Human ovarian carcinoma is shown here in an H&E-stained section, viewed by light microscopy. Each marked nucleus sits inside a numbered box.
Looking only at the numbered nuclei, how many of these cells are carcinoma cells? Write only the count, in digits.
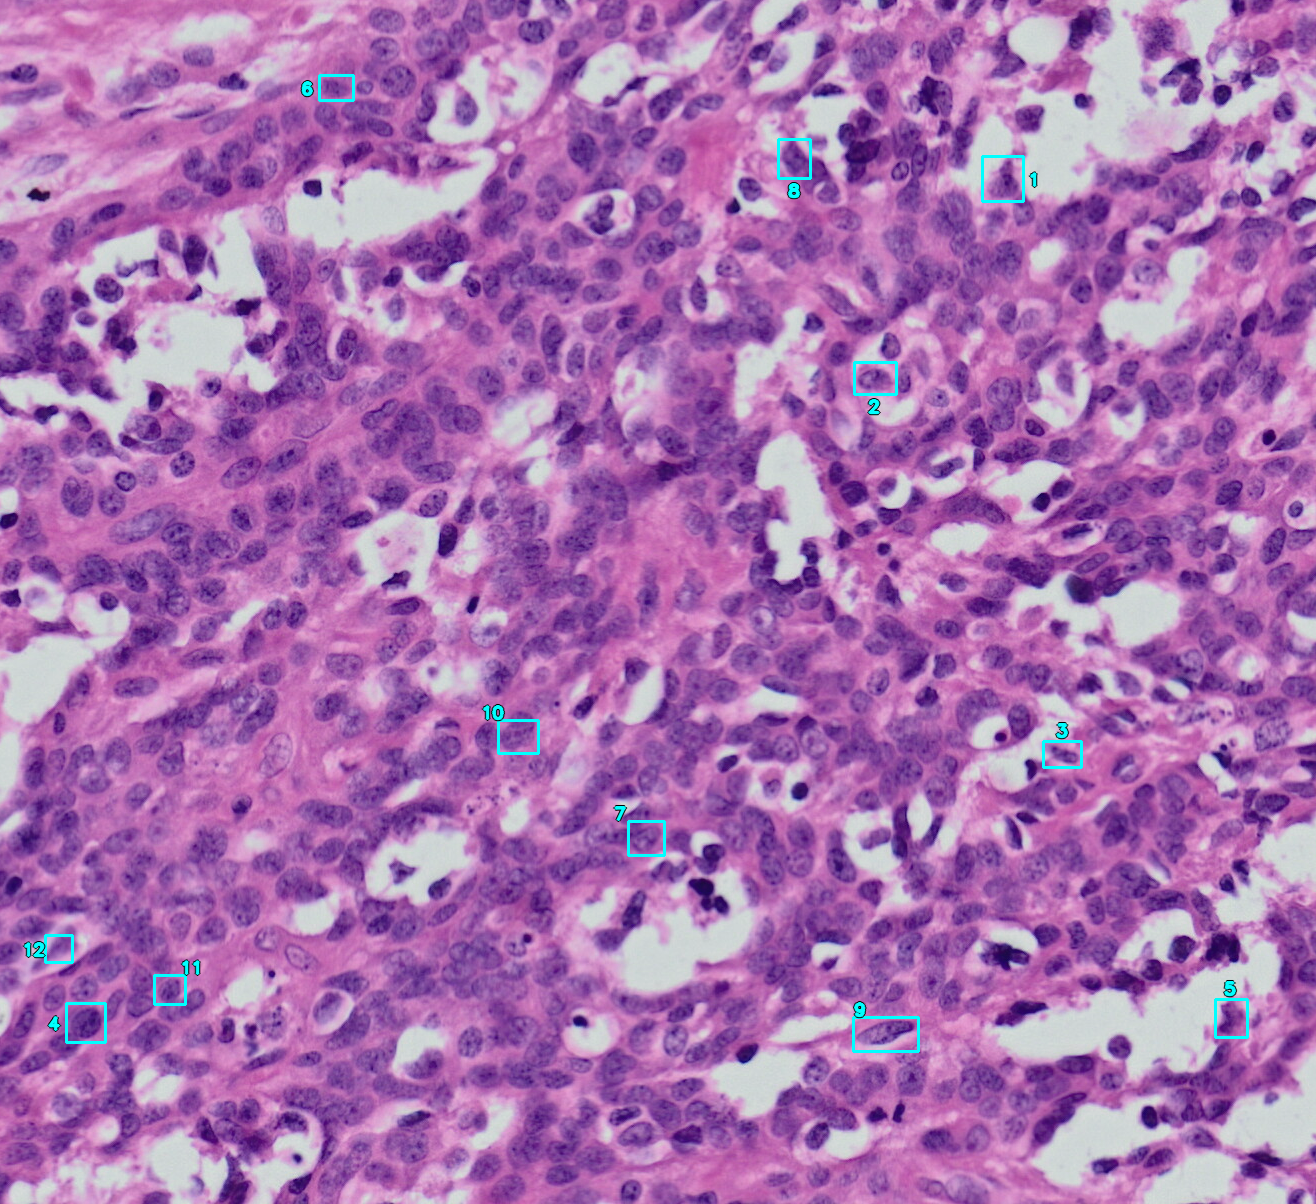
7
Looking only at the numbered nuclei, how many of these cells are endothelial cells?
1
